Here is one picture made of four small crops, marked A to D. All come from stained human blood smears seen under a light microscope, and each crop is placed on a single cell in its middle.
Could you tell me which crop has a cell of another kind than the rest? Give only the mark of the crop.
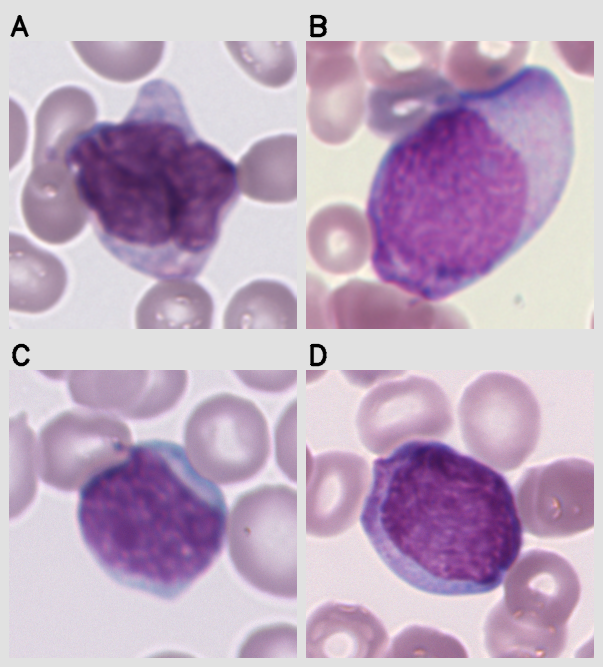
C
